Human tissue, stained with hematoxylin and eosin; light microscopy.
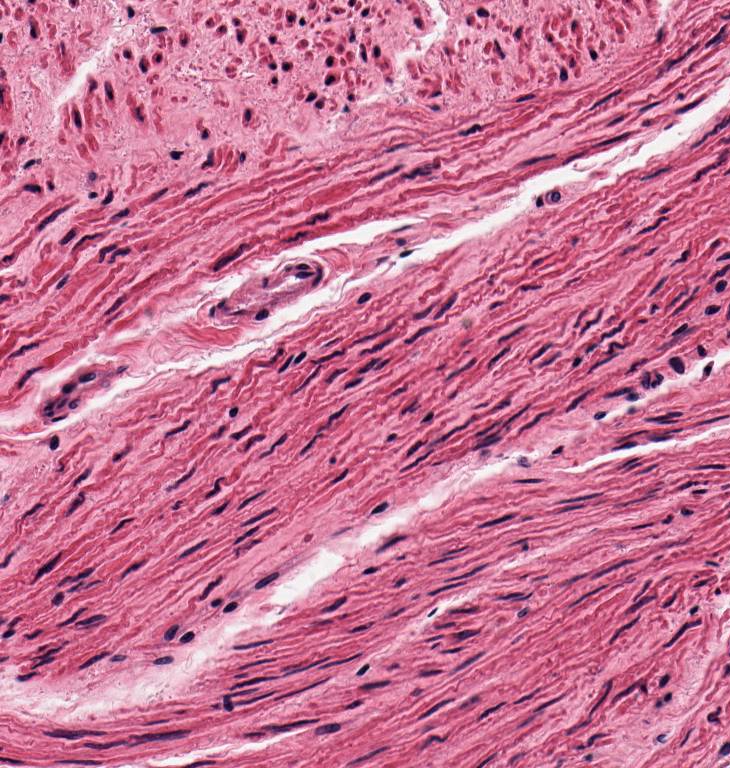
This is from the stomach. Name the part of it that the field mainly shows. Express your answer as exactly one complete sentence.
The part of the tissue imaged here is called smooth muscle.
